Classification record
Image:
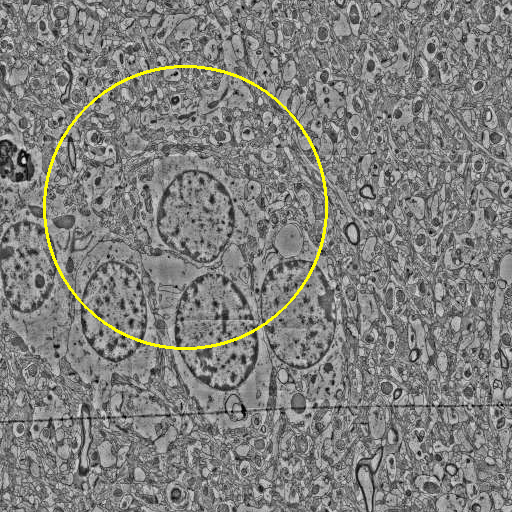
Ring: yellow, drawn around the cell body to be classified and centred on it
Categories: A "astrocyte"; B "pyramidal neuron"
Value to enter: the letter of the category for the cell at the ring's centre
A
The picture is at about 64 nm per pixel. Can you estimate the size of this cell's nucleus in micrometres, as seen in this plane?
The nucleus comes to roughly 6 by 5 micrometres in this plane.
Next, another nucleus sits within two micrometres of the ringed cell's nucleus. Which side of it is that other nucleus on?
The other nucleus lies below it.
